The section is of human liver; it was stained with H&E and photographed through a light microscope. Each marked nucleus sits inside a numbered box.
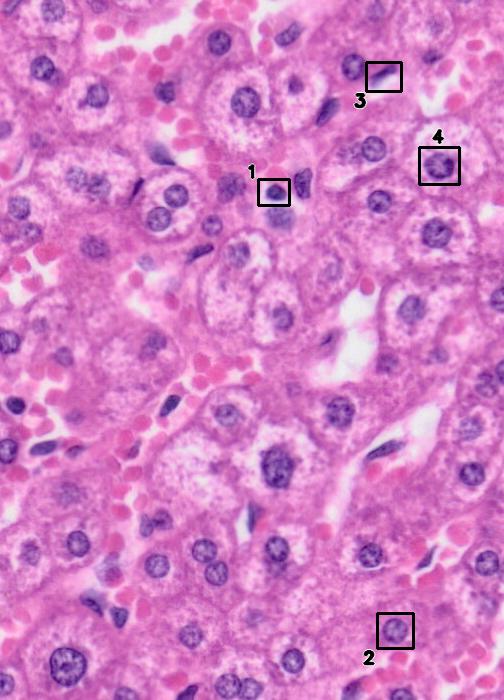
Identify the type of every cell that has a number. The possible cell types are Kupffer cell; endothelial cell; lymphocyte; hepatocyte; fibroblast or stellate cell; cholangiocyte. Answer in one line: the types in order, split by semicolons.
lymphocyte; hepatocyte; endothelial cell; hepatocyte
